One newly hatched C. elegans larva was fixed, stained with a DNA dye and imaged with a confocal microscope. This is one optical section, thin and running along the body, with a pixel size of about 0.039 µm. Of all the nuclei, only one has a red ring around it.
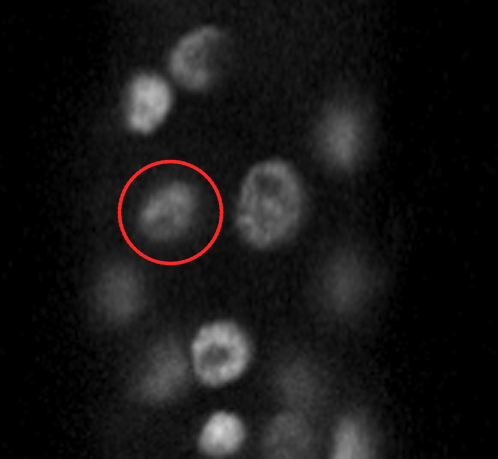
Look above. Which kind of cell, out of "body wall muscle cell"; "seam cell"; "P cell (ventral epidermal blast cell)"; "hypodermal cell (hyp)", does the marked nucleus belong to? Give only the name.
P cell (ventral epidermal blast cell)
